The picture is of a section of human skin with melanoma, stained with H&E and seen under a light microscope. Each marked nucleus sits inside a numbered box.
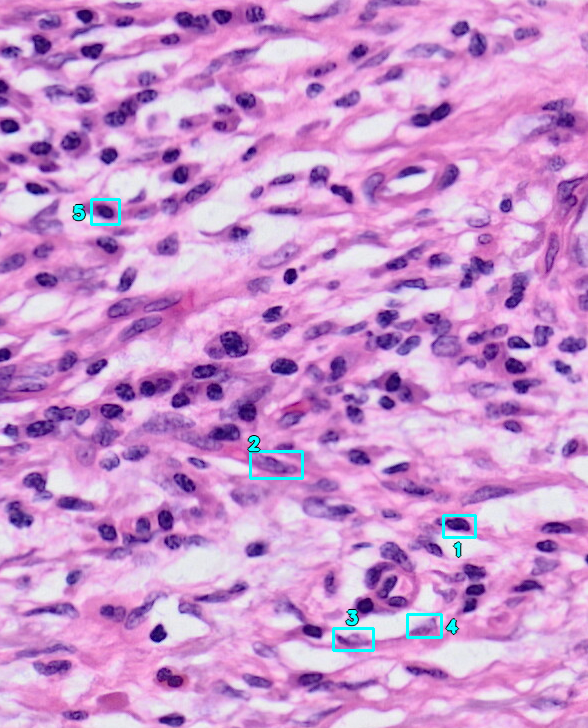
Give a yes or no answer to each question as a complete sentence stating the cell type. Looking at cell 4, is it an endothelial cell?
No, the cell given number 4 is a fibroblast or myofibroblast, as opposed to an endothelial cell.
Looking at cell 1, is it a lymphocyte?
Yes, number 1 marks a cell that is a lymphocyte.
